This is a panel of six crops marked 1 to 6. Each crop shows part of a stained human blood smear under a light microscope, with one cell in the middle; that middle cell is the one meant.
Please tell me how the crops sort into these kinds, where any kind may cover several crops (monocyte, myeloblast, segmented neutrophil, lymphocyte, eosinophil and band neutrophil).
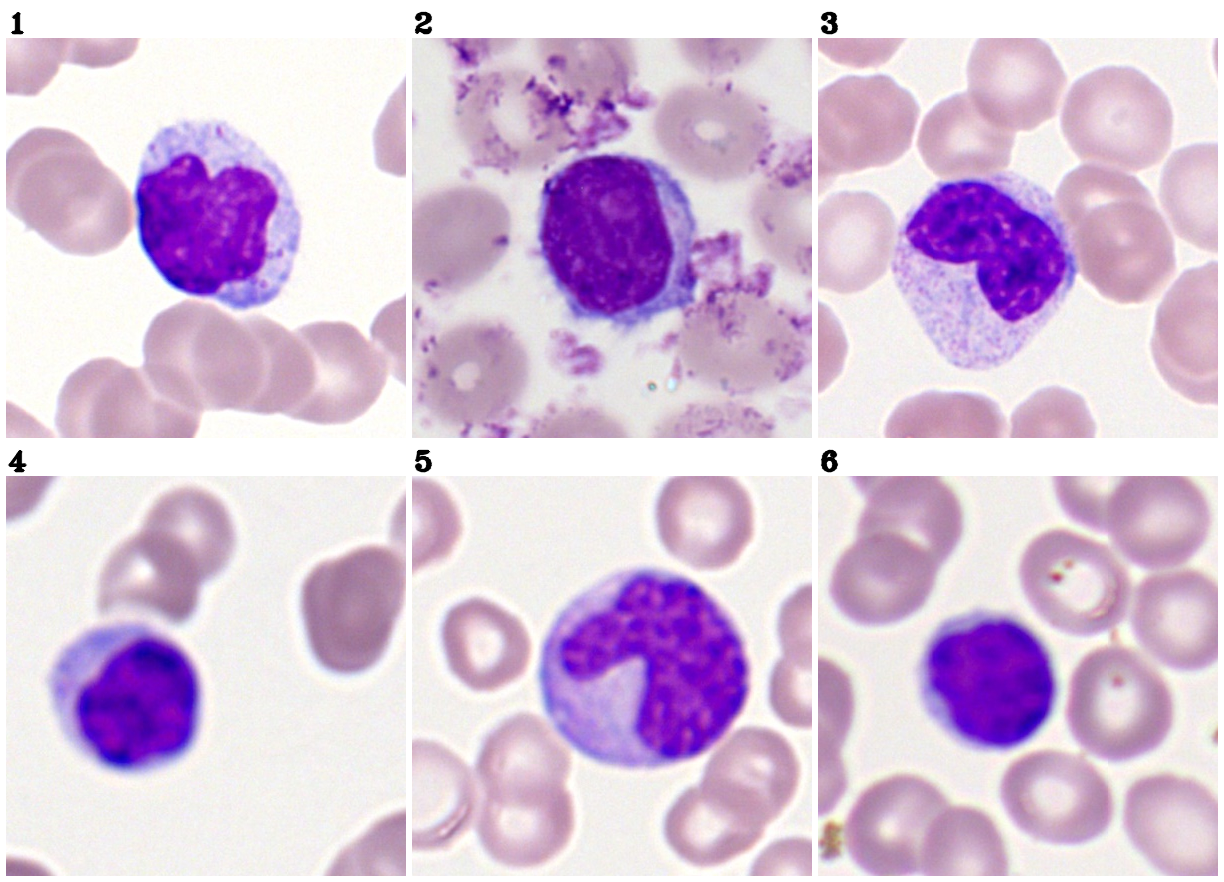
1: lymphocyte
2: lymphocyte
3: band neutrophil
4: lymphocyte
5: monocyte
6: lymphocyte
